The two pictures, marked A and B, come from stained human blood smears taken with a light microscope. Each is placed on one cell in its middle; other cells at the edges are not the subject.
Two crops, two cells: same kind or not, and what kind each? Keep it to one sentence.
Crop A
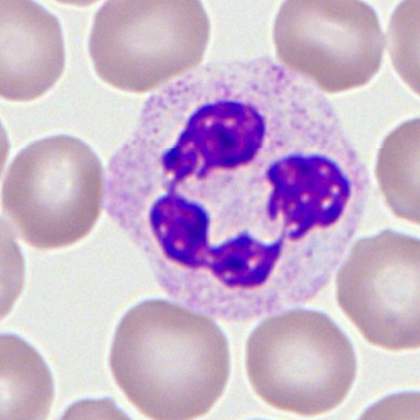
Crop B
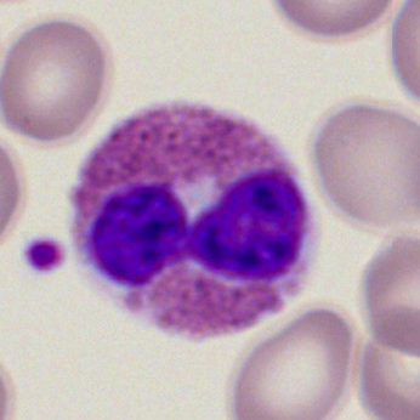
No, the middle of crop A shows a neutrophil, and the middle of crop B shows an eosinophil.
